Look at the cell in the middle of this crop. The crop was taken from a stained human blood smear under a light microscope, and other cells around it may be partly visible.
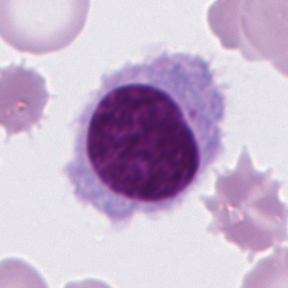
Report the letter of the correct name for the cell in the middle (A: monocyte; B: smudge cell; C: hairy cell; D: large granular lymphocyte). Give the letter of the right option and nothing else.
C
